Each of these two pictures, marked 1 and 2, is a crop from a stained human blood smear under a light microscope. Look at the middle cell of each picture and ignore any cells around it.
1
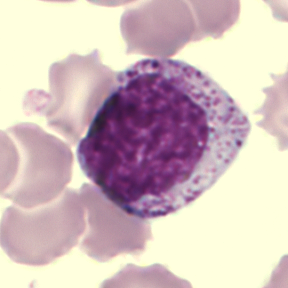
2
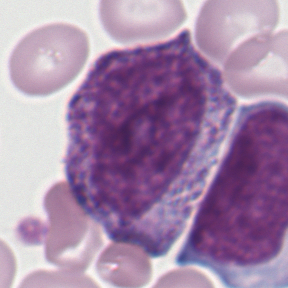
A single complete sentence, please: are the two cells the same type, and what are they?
Yes, the cells at the middle of both crops are myelocytes.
